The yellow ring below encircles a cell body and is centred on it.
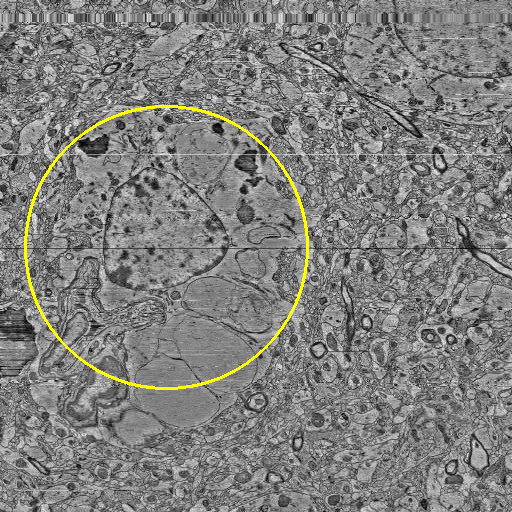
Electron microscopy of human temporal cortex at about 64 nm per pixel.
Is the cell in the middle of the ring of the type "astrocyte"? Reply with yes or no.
yes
